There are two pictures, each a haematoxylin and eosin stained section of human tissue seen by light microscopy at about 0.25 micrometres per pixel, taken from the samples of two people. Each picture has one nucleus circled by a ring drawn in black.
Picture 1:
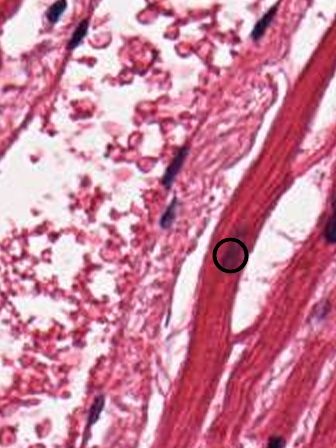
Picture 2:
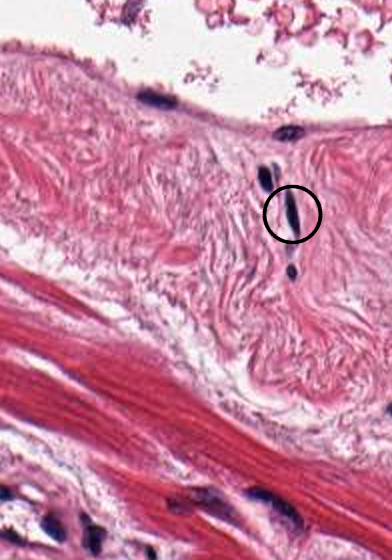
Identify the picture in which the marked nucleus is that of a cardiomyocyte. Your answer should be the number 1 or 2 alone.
1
